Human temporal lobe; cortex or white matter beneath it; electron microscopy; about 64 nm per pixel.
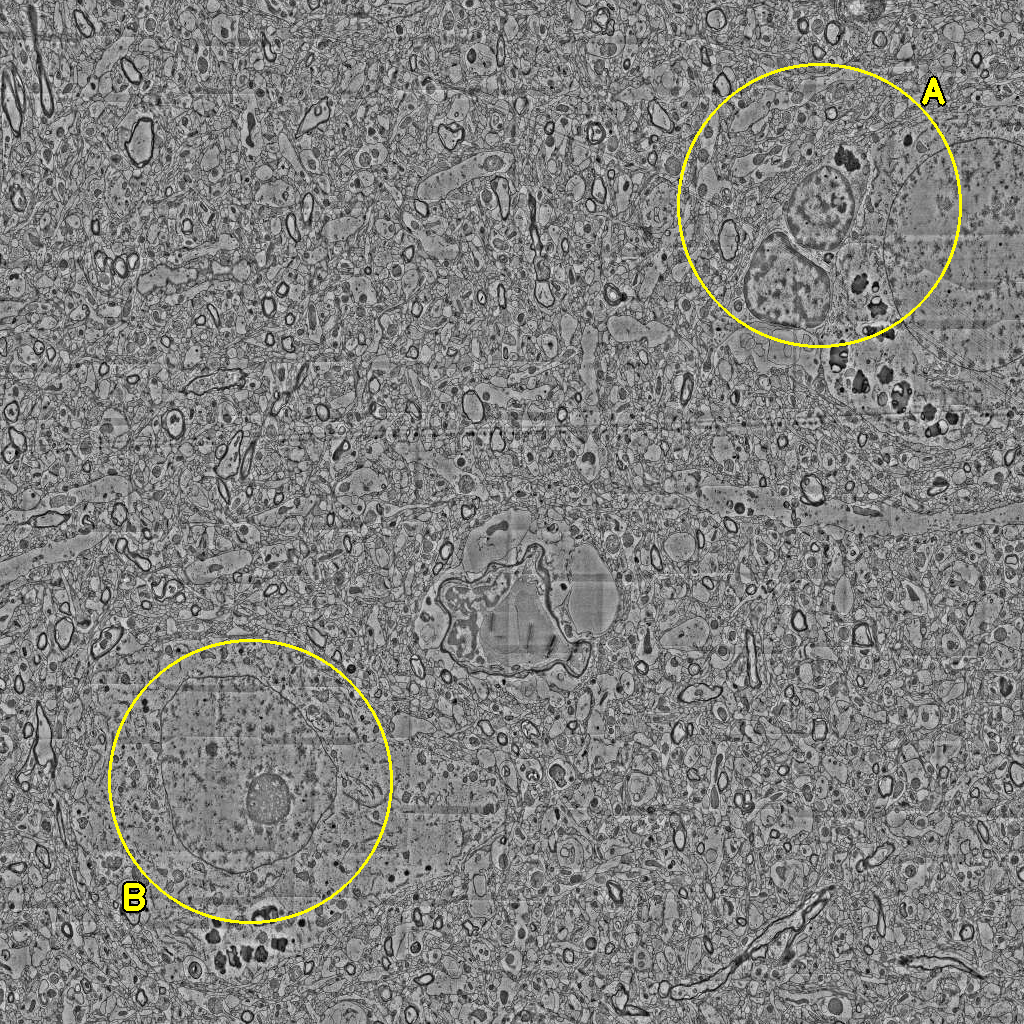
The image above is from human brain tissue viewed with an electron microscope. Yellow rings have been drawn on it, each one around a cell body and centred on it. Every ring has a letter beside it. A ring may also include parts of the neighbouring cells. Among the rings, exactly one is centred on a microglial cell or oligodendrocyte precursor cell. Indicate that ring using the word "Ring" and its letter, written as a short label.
Ring A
